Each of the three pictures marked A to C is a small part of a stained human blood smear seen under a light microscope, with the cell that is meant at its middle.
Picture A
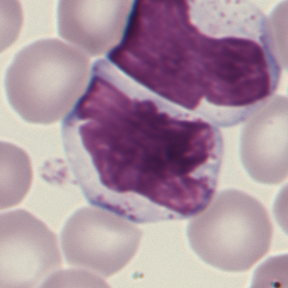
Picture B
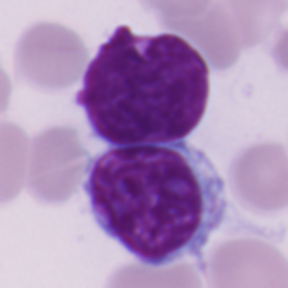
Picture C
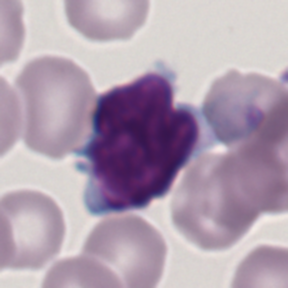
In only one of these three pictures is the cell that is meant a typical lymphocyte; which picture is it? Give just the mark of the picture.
C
